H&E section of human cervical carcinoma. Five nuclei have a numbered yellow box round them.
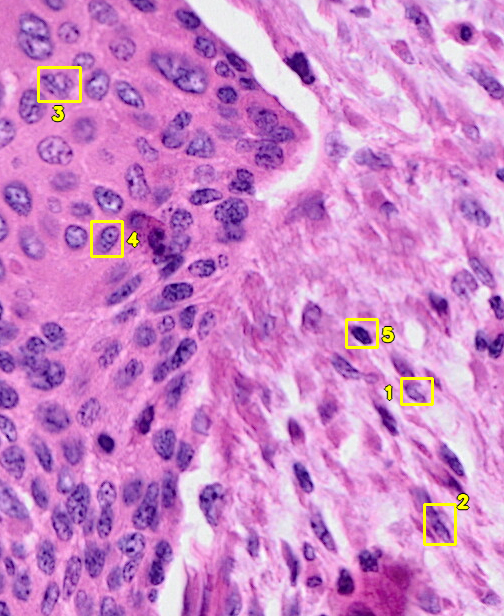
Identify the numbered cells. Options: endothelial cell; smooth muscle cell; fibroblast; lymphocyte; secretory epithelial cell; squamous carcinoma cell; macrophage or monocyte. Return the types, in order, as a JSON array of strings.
["fibroblast", "fibroblast", "squamous carcinoma cell", "squamous carcinoma cell", "lymphocyte"]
